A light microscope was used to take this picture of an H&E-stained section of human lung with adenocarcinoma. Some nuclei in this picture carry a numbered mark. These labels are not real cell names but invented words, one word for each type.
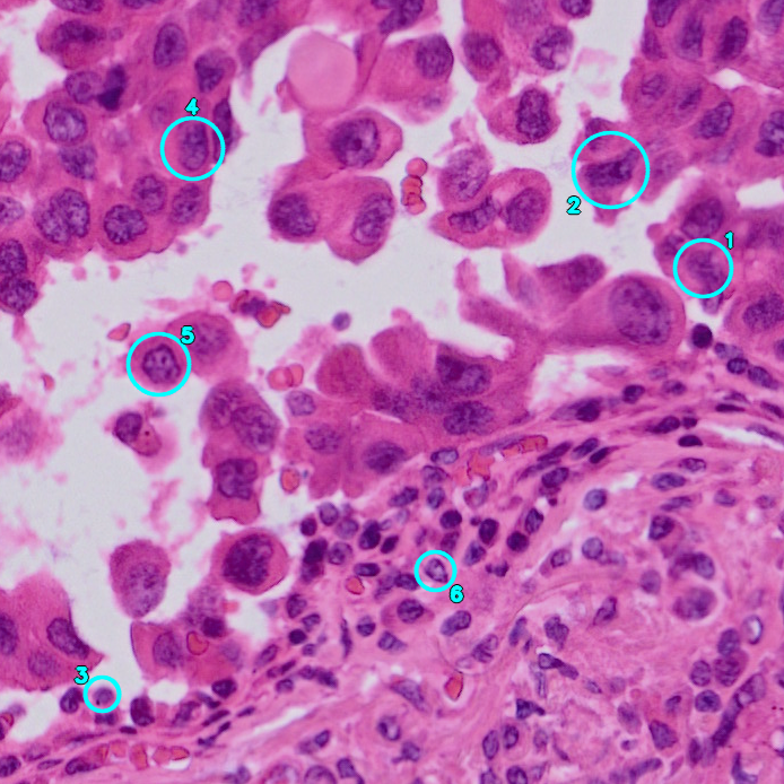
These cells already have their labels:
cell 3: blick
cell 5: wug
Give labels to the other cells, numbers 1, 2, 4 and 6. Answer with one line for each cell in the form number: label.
1: wug
2: wug
4: wug
6: blick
